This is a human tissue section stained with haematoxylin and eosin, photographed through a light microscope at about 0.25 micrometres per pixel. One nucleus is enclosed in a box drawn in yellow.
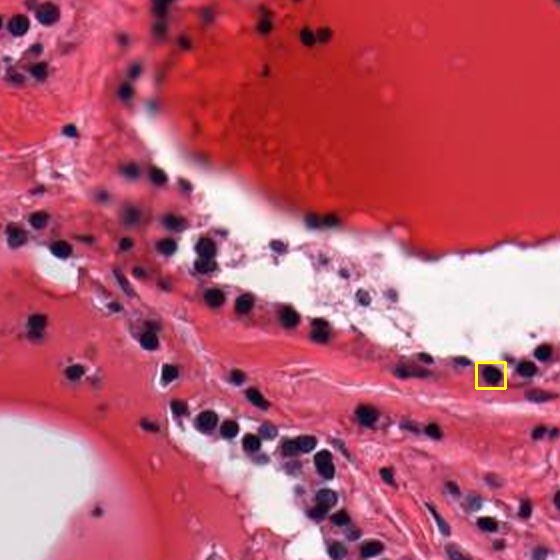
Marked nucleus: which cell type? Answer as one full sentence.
The marked nucleus belongs to a thyroid follicular cell.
